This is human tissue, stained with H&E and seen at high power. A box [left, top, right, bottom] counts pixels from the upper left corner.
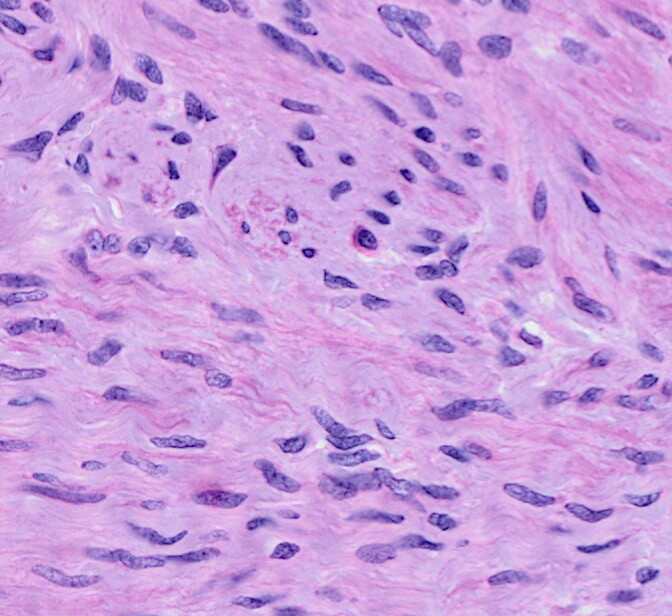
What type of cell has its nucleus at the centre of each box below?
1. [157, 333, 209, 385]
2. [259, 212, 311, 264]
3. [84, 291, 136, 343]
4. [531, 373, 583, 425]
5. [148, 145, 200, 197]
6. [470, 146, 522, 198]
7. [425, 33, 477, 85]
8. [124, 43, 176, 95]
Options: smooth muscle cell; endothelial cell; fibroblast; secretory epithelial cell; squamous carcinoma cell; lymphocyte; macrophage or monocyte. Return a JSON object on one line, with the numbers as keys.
{"1": "smooth muscle cell", "2": "smooth muscle cell", "3": "smooth muscle cell", "4": "smooth muscle cell", "5": "fibroblast", "6": "smooth muscle cell", "7": "fibroblast", "8": "fibroblast"}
